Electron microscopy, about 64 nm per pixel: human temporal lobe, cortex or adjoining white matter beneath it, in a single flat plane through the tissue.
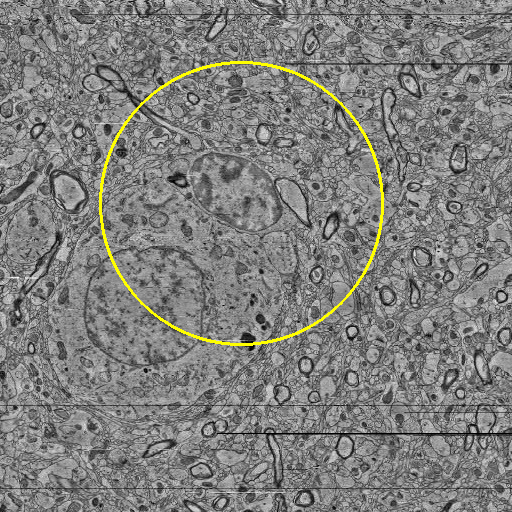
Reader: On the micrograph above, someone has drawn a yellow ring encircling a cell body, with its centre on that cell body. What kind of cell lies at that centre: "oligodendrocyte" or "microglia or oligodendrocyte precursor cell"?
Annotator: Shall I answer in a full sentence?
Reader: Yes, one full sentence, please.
Here an oligodendrocyte sits at the centre of the yellow ring drawn on the micrograph.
